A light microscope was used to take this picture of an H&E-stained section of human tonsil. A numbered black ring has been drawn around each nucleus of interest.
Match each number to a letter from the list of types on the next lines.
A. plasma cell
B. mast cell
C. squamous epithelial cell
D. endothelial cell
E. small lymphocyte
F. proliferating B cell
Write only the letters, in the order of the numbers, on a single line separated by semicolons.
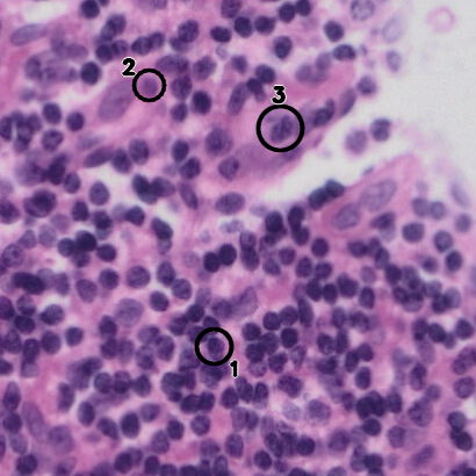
E; D; D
